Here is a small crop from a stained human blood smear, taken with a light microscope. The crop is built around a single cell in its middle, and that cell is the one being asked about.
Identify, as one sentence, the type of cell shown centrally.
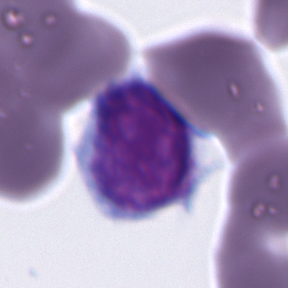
The crop shows a hairy cell in its centre.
